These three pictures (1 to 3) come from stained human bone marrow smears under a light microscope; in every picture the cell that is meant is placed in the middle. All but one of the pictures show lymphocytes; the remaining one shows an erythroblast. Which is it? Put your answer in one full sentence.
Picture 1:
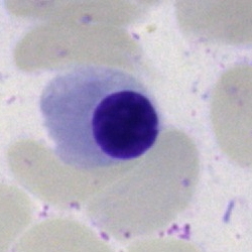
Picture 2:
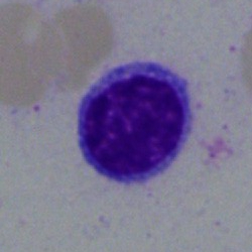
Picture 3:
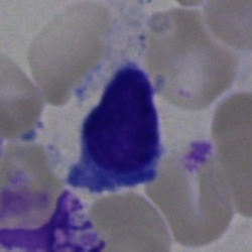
Picture 1 shows the erythroblast.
